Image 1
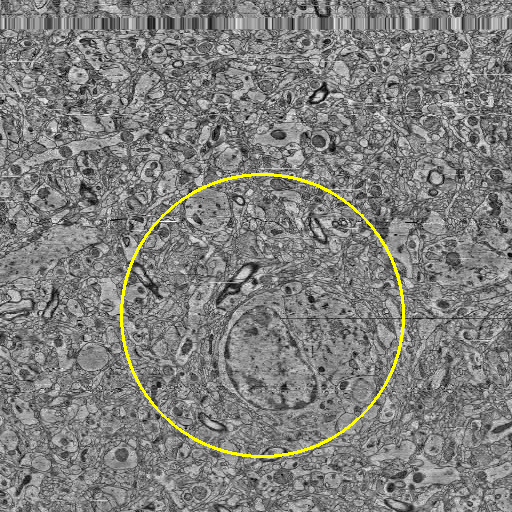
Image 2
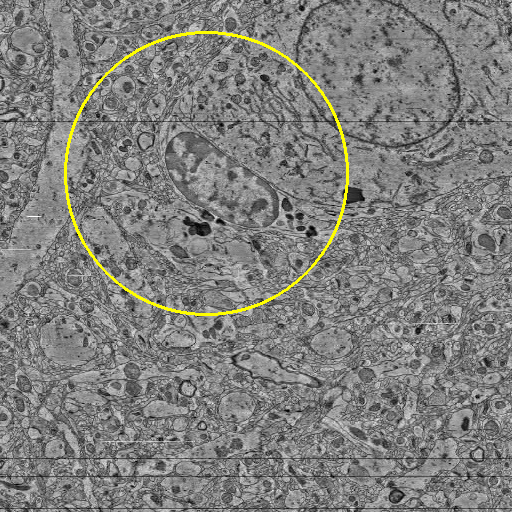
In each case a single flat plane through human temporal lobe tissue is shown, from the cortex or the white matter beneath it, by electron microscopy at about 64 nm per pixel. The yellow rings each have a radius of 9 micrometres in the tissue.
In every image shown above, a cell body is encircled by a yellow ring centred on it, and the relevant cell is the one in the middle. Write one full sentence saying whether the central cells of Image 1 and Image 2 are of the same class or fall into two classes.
The cell at the ring's centre in Image 1 and its counterpart in Image 2 are of the same class.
